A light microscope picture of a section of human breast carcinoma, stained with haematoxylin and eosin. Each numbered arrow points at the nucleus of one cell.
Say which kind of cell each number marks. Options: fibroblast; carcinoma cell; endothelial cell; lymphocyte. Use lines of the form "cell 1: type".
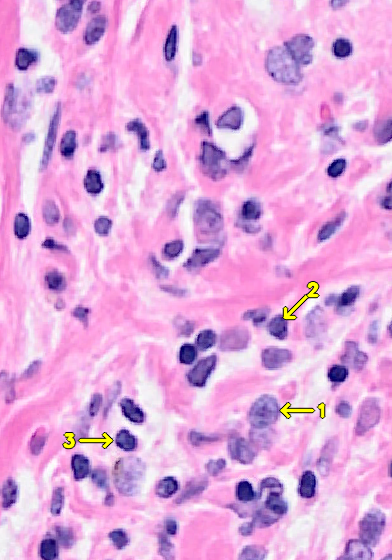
cell 1: carcinoma cell
cell 2: lymphocyte
cell 3: lymphocyte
